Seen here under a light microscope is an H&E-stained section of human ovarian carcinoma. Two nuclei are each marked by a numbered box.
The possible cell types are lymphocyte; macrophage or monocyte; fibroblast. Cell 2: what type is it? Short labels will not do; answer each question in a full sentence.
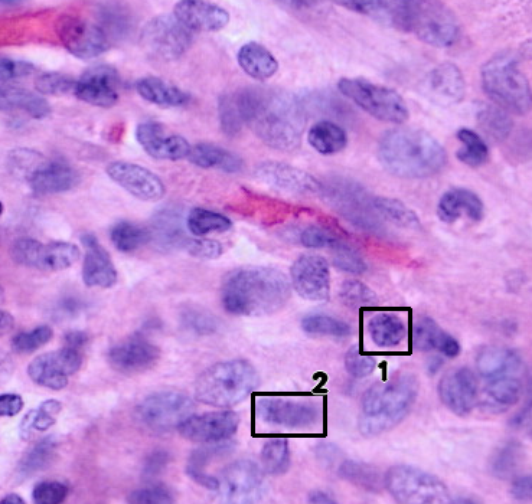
Here the cell numbered 2 is a macrophage or monocyte.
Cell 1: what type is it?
The cell assigned the number 1 is a lymphocyte.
